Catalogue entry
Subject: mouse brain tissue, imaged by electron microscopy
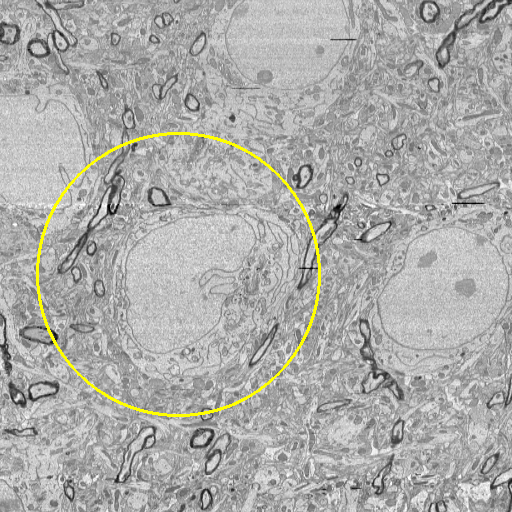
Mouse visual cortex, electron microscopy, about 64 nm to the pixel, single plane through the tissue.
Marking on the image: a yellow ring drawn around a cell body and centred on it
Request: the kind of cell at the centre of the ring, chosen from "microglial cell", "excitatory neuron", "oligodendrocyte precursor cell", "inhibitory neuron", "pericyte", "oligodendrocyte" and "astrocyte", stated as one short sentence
The ring has an inhibitory neuron at its centre.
